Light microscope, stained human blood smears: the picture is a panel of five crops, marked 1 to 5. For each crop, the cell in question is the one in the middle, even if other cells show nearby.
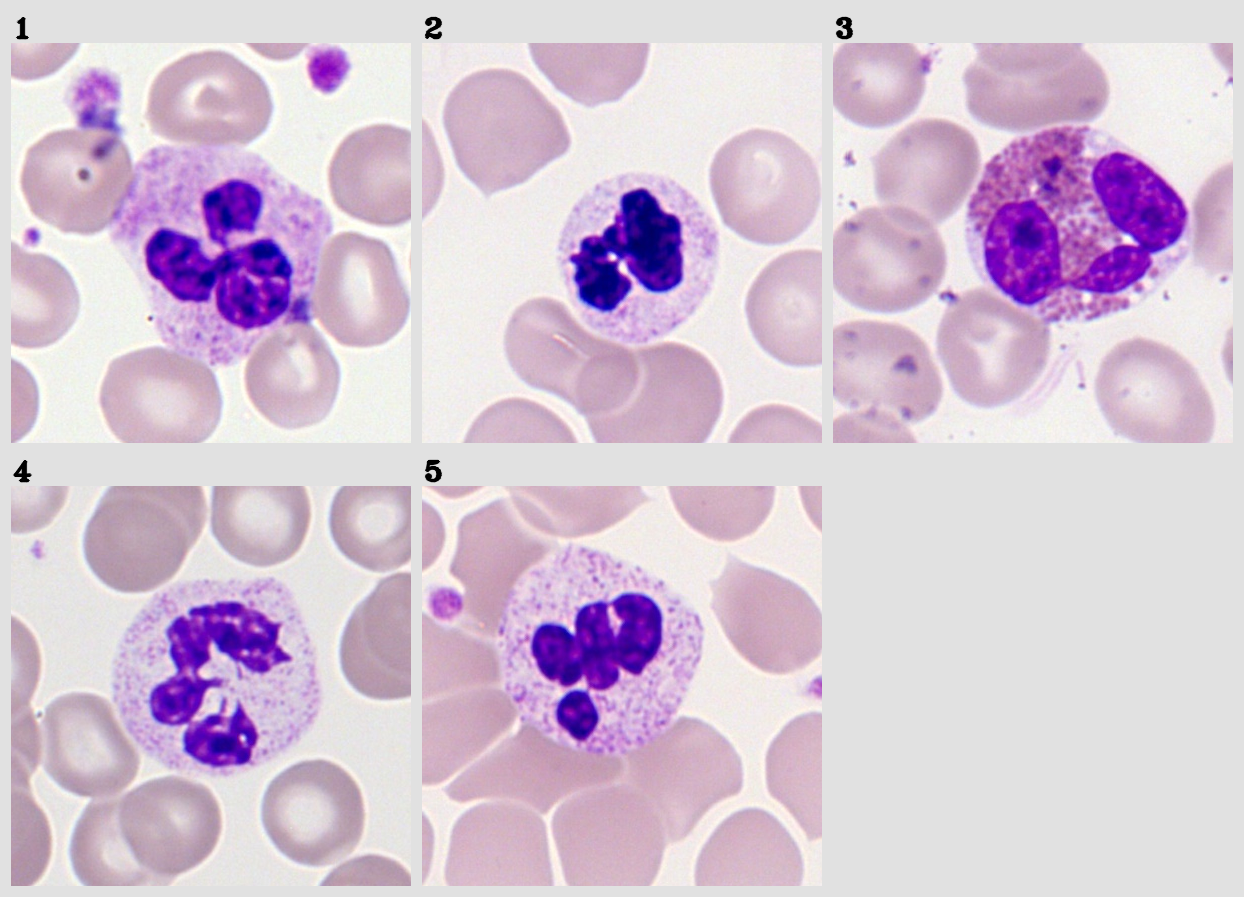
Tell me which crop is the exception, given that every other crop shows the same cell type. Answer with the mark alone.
3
